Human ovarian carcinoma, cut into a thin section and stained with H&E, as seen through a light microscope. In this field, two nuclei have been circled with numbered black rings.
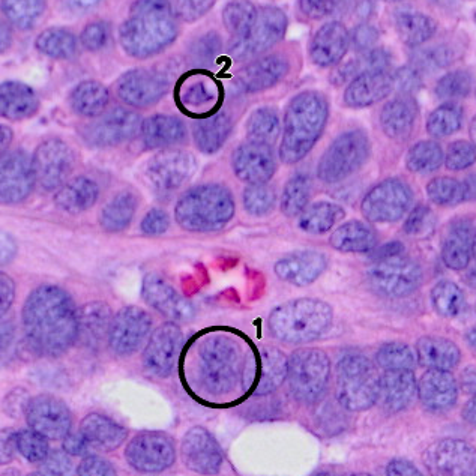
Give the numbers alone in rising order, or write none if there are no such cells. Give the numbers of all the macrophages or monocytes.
2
